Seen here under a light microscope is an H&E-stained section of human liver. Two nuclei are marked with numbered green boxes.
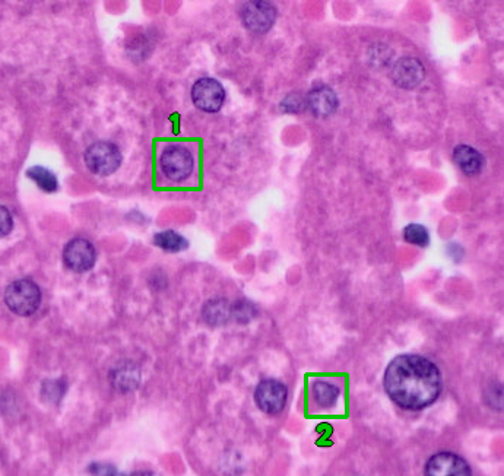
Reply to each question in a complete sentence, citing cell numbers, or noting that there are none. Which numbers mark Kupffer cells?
Only the nucleus marked 2 is that of a Kupffer cell.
